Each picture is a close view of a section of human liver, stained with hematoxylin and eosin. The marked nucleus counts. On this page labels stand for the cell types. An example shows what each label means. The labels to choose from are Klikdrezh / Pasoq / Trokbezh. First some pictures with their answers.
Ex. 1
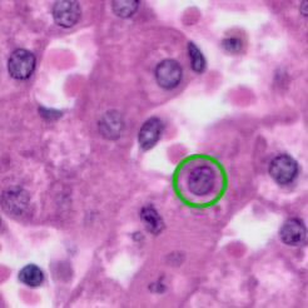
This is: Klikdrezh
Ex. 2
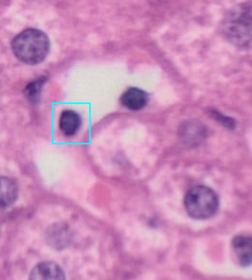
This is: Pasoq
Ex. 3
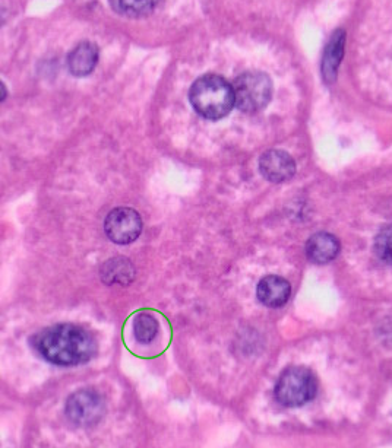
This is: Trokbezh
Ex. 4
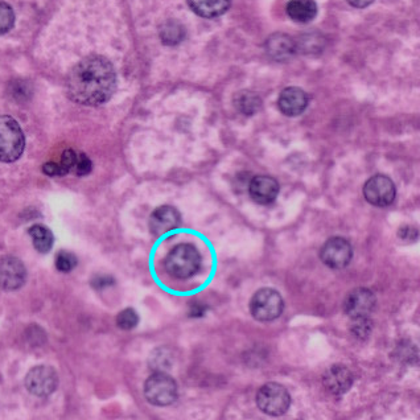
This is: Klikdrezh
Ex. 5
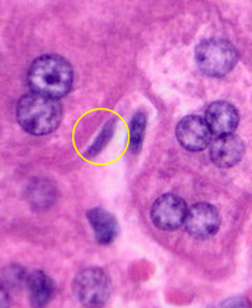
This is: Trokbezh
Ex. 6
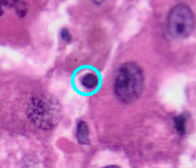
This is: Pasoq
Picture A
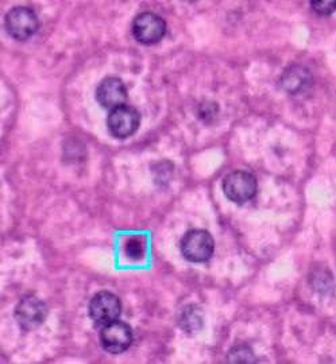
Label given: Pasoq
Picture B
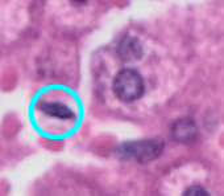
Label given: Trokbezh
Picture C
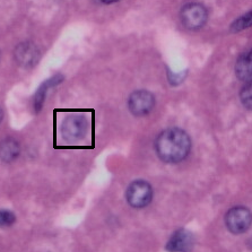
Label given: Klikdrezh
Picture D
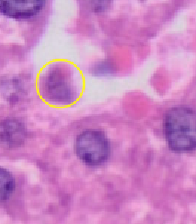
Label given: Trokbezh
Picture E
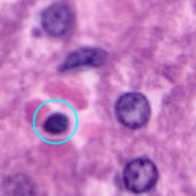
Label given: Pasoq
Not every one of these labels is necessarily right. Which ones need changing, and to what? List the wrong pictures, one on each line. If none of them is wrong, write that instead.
Wrong: B (Trokbezh); correct: Pasoq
